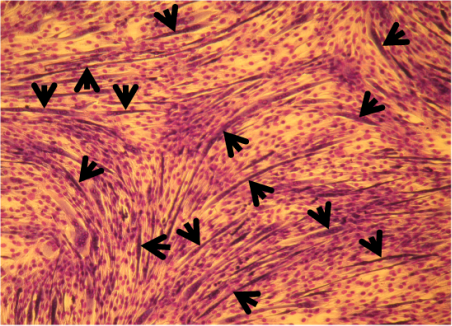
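This is a dense culture of muscle precursor cells in which many cells have fused into multinucleated myotubes. The myotubes are long, thin, dark purple fibres that run in parallel streams through a carpet of single spindle-shaped cells with small oval purple nuclei on a pale yellow-pink background.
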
